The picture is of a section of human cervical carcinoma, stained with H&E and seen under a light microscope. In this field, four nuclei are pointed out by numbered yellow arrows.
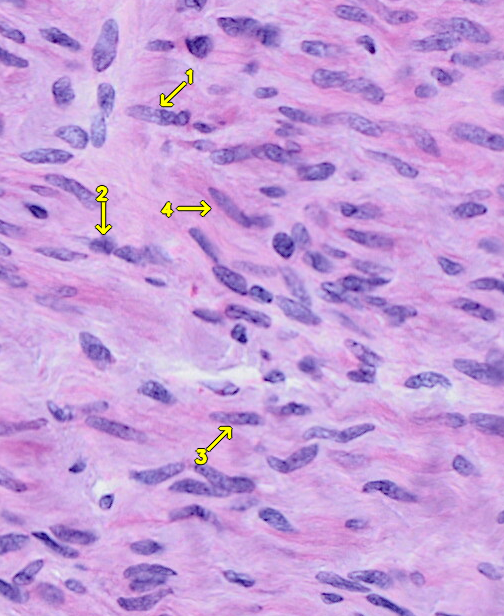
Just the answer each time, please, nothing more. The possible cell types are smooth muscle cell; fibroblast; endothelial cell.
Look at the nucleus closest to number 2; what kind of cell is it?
fibroblast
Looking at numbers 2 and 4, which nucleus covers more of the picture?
4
